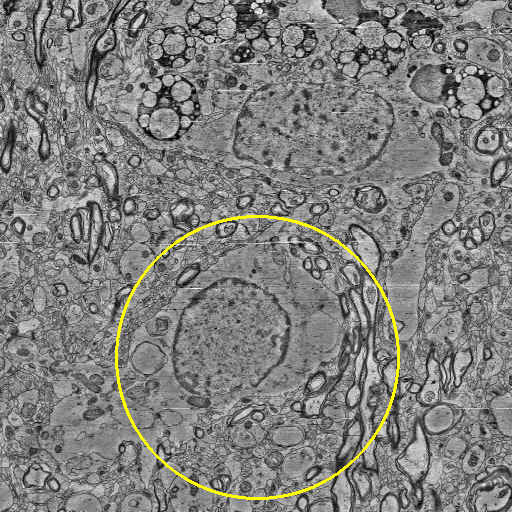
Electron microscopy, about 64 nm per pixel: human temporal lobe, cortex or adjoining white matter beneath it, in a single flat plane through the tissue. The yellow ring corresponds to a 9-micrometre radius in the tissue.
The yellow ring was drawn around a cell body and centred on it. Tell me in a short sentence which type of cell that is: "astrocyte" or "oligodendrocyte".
The cell at the ring's centre is an astrocyte.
